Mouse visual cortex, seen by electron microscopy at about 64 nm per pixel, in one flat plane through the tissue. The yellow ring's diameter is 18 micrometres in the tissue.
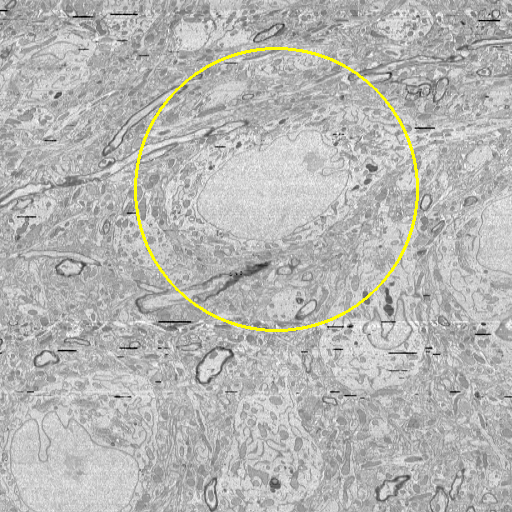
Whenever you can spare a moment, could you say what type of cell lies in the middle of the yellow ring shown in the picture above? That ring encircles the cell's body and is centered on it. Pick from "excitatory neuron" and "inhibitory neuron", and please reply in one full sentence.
The cell whose body sits at the middle of the yellow ring is an inhibitory neuron.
